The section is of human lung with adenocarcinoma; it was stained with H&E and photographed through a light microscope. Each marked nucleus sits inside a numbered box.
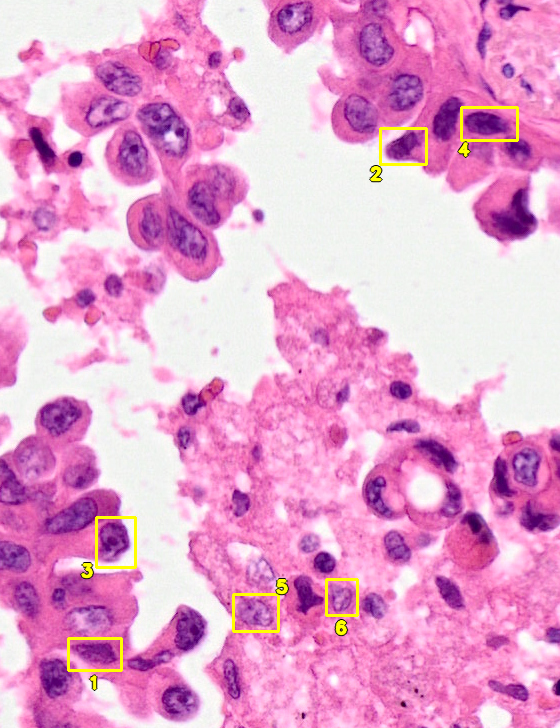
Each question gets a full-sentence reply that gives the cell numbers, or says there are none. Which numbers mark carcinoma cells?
Cells that were given the numbers 1, 2, 3 and 4 are carcinoma cells.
